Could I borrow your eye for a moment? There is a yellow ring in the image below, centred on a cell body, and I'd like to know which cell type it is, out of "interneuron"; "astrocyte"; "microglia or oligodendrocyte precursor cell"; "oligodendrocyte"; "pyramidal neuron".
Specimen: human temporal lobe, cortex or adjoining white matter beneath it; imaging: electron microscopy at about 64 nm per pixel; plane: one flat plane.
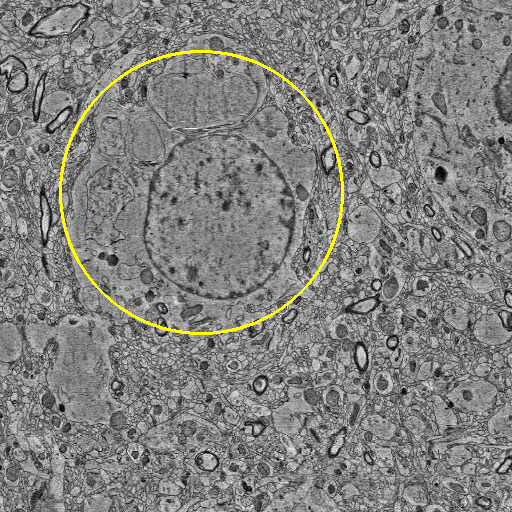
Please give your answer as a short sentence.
The cell body at the centre is that of an astrocyte.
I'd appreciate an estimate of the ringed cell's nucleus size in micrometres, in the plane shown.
In this plane, the nucleus of the cell at the centre of the ring measures about 11 by 10 micrometres.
